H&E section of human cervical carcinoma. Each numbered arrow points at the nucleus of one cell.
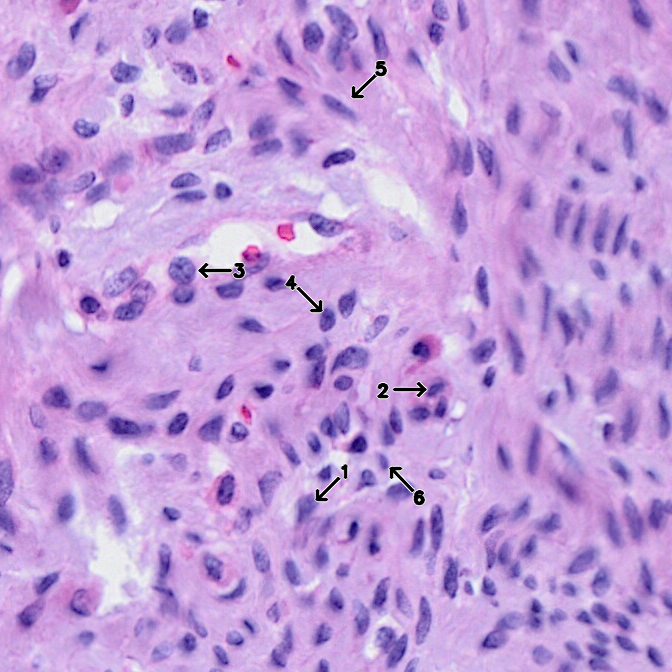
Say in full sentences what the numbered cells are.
Cell 1 is a fibroblast, cell 2 is an endothelial cell, cell 3 is an endothelial cell, cell 4 is a fibroblast, cell 5 is a fibroblast and cell 6 is a fibroblast.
